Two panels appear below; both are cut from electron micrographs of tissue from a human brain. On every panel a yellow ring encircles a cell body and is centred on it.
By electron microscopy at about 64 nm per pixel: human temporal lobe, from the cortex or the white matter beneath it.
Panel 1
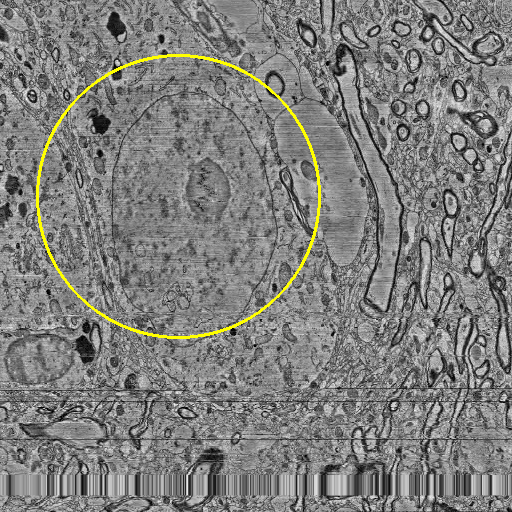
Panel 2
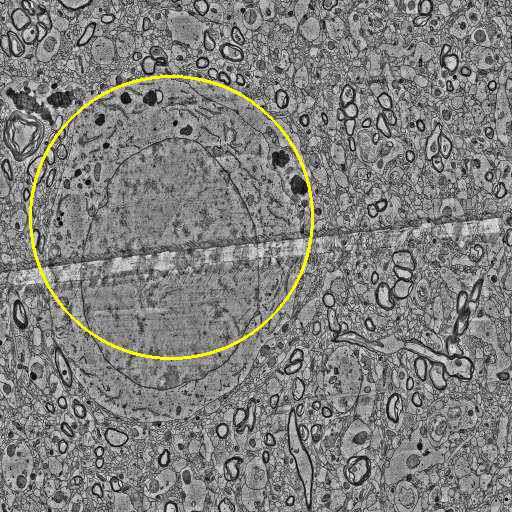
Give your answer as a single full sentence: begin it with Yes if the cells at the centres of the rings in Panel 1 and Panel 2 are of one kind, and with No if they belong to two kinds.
Yes, the cells in the middle of the rings in Panels 1 and 2 are of one kind.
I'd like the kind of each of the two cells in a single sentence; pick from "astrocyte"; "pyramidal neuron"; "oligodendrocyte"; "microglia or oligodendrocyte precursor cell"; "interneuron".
In the first picture and in the second, the ring is centred on a pyramidal neuron.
